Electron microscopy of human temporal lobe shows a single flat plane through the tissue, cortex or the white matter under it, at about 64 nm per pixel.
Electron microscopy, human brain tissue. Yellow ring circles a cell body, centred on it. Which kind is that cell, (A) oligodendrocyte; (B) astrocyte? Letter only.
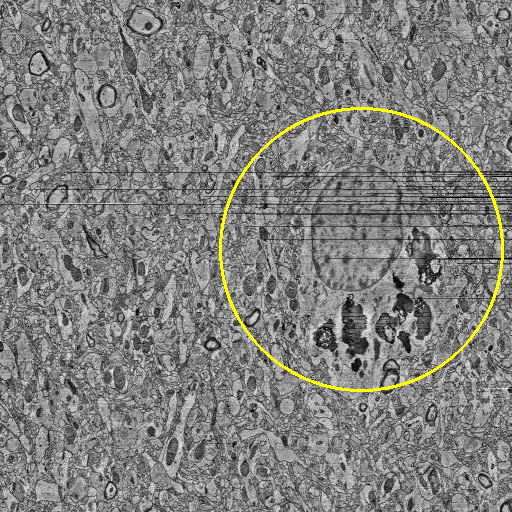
B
